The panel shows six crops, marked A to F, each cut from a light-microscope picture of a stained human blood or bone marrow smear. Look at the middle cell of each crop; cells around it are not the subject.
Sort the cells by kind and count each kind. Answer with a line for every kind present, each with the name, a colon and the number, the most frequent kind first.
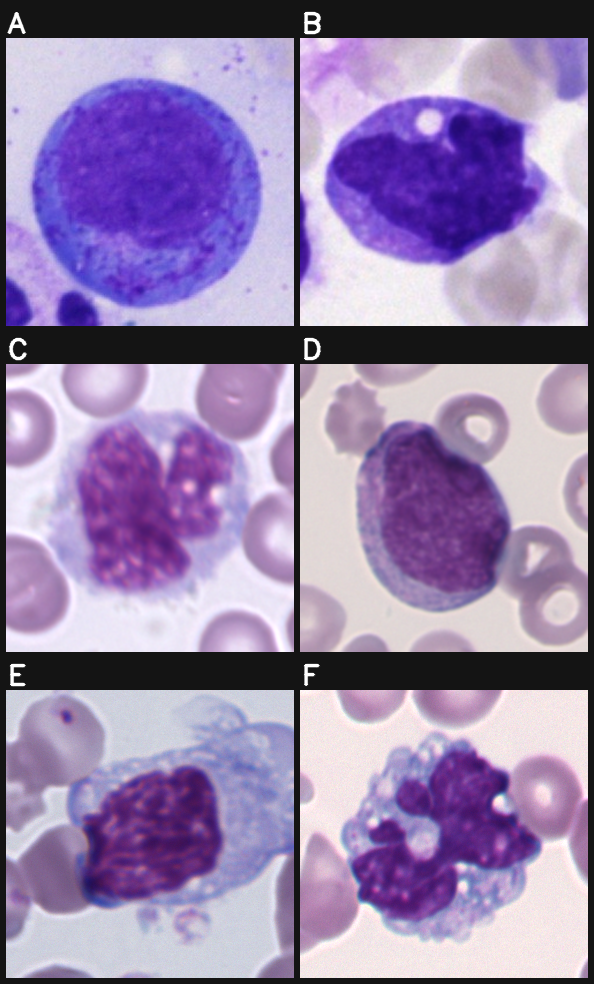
monocyte: 4
promyelocyte: 2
